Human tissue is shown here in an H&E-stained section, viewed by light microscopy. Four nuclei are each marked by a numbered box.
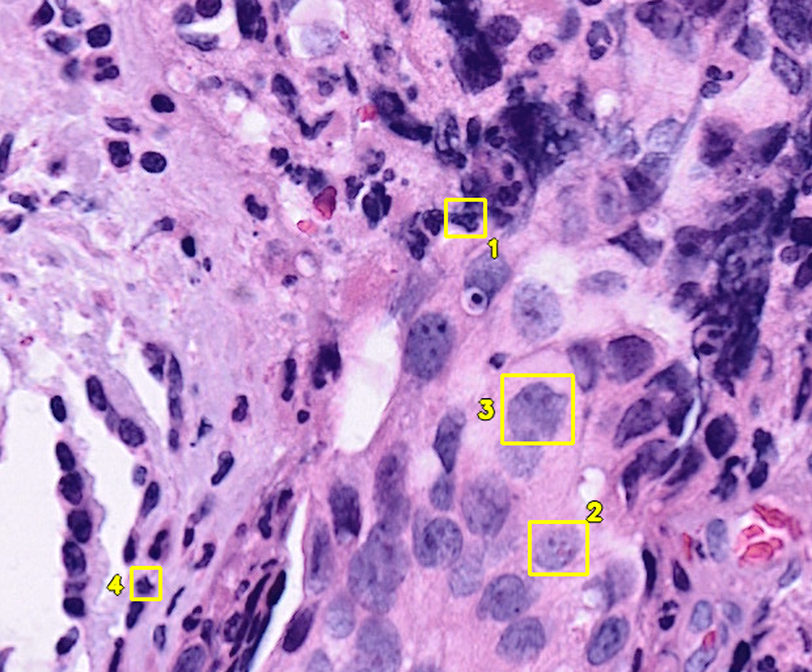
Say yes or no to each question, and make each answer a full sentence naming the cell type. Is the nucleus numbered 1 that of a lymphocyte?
Yes, the cell bearing the number 1 is a lymphocyte.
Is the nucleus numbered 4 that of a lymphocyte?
Yes, it is a lymphocyte that carries the number 4.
